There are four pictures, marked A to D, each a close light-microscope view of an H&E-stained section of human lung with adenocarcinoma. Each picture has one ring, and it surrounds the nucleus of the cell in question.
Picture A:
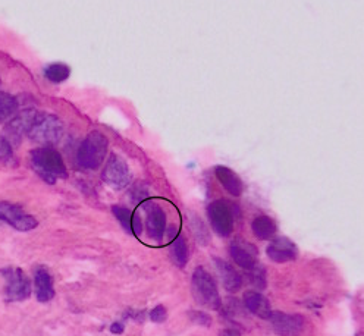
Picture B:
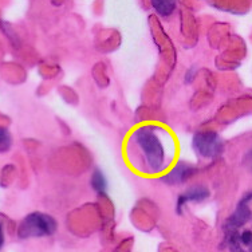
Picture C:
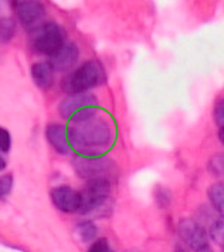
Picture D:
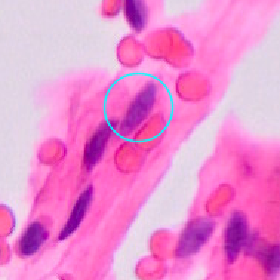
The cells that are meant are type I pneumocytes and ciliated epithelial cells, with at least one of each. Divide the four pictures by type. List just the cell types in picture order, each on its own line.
ciliated epithelial cell
type I pneumocyte
ciliated epithelial cell
type I pneumocyte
